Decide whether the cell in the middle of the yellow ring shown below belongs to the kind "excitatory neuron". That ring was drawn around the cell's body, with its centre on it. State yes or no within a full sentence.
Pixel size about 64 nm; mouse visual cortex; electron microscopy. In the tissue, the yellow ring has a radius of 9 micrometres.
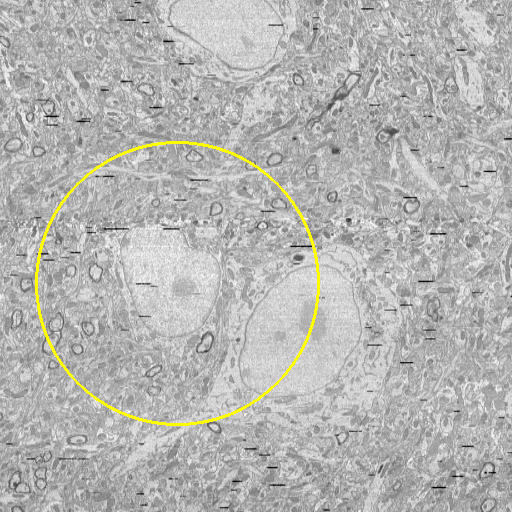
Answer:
No, the cell whose body lies at the ring's centre in the picture belongs to a different kind.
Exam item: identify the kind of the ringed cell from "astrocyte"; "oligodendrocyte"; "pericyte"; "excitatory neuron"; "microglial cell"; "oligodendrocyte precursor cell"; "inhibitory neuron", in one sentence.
In this picture, the ring is centred on an astrocyte.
